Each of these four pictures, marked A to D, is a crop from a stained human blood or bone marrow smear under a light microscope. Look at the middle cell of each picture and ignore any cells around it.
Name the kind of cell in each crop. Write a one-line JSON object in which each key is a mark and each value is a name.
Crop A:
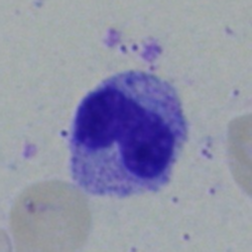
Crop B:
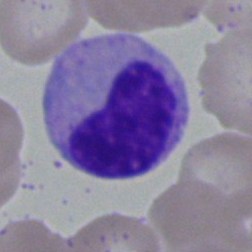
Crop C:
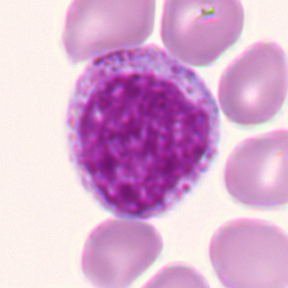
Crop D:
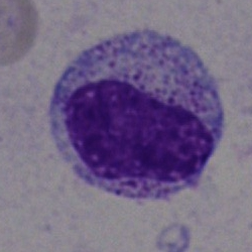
{"A": "band neutrophil", "B": "metamyelocyte", "C": "myelocyte", "D": "metamyelocyte"}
